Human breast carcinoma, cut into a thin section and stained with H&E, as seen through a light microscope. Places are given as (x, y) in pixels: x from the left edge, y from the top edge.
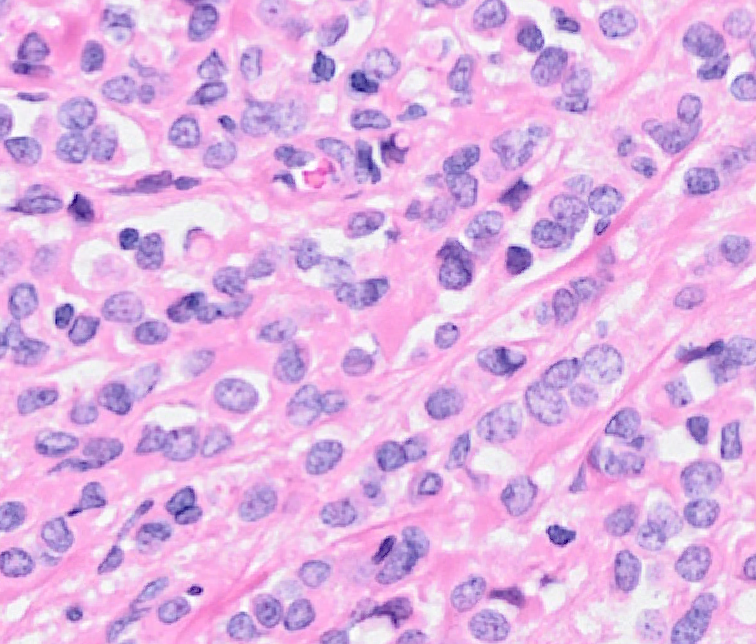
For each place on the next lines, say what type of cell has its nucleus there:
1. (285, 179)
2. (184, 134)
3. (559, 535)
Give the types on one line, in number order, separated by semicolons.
endothelial cell; carcinoma cell; lymphocyte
